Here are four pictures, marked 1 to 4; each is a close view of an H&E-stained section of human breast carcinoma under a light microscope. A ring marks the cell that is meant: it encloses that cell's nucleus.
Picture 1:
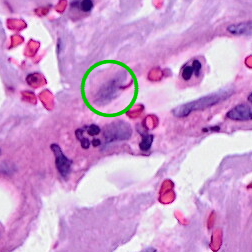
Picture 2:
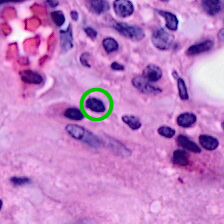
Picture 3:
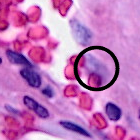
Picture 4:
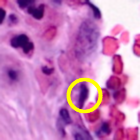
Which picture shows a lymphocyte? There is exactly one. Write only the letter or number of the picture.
2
